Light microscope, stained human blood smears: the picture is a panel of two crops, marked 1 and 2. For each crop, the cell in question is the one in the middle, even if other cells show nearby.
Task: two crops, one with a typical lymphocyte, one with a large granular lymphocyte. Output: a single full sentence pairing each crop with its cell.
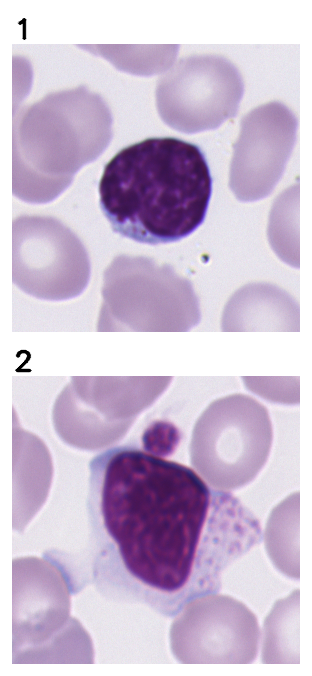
Crop 1 is identified as a typical lymphocyte, and crop 2 is identified as a large granular lymphocyte.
